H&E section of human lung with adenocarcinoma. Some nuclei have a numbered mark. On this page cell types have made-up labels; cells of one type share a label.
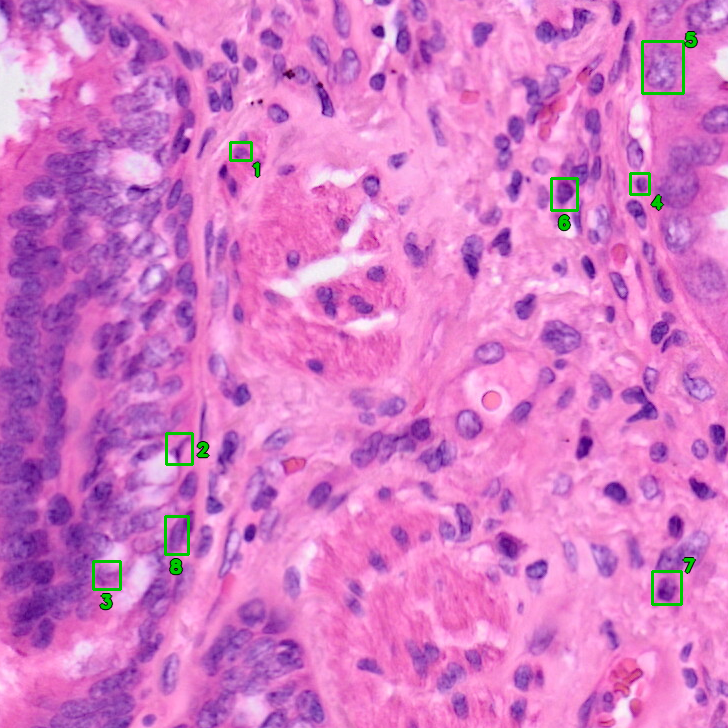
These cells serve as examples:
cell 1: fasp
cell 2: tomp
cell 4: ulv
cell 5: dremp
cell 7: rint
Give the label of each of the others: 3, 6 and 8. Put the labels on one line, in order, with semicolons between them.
tomp; rint; tomp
